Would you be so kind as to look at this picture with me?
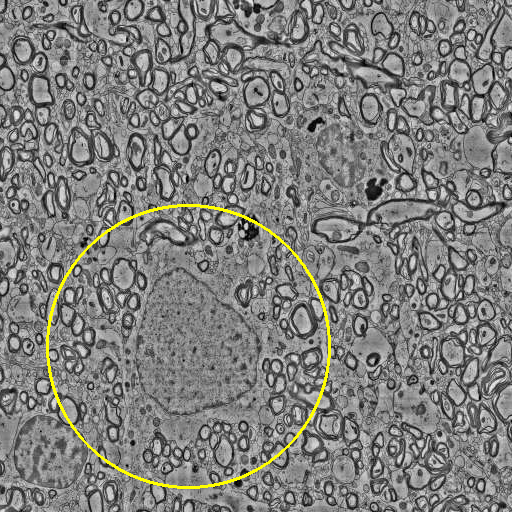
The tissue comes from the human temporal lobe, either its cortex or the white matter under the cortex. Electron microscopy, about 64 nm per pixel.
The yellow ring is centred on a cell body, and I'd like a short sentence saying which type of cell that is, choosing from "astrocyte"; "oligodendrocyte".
The cell body in the ring belongs to an astrocyte.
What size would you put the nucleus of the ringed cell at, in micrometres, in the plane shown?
The nucleus appears roughly 9 by 8 micrometres in this plane.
